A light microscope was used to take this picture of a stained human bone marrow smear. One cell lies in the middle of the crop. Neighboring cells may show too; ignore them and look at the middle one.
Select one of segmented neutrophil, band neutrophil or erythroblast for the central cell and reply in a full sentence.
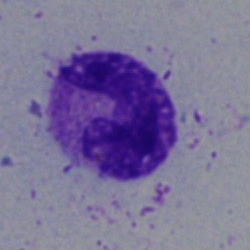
The cell in the middle of the field of view is a band neutrophil.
